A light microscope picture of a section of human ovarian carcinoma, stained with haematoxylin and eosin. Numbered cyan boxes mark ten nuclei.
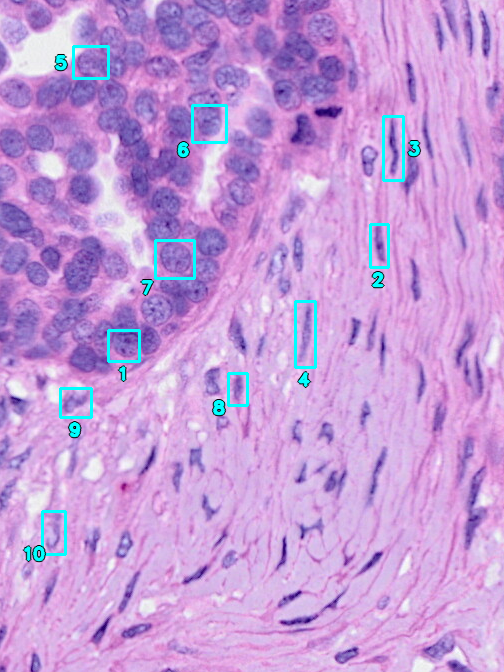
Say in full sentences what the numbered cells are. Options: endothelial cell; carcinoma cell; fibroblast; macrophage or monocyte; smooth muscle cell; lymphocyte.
Cell 1 is a carcinoma cell, cell 2 is a fibroblast, cell 3 is a fibroblast, cell 4 is a fibroblast, cell 5 is a carcinoma cell, cell 6 is a carcinoma cell, cell 7 is a carcinoma cell, cell 8 is a fibroblast, cell 9 is a fibroblast and cell 10 is a fibroblast.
